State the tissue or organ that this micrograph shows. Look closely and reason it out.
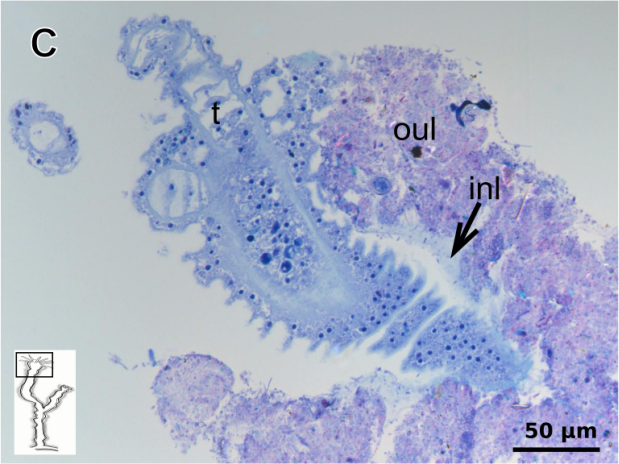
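Tissue with many dark granules in a central mass. Surrounded partly by a loose pinkish granular layer.
Hydranth.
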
